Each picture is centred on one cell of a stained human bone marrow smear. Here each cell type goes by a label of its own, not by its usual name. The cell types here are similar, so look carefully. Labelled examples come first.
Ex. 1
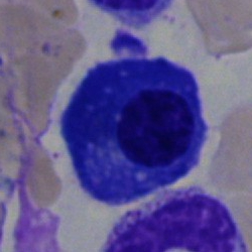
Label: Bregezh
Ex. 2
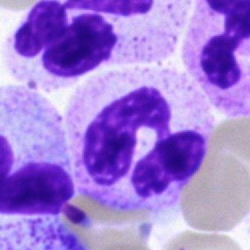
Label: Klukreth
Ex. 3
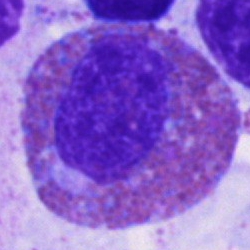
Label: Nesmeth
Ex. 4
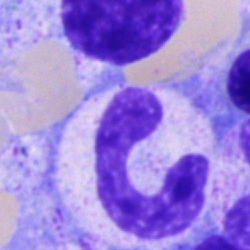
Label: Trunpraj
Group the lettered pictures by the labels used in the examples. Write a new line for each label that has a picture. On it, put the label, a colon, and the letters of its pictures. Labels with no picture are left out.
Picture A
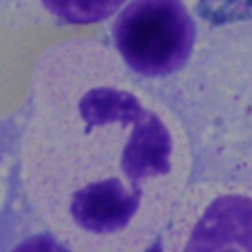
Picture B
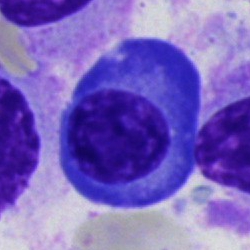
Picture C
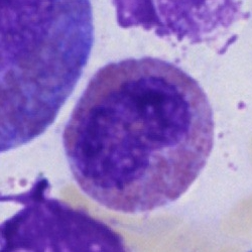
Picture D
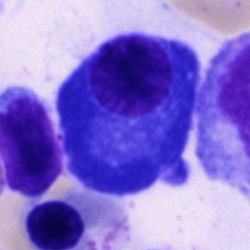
Bregezh: B, D
Klukreth: A
Nesmeth: C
